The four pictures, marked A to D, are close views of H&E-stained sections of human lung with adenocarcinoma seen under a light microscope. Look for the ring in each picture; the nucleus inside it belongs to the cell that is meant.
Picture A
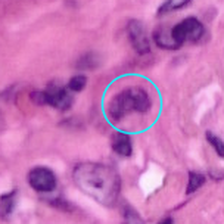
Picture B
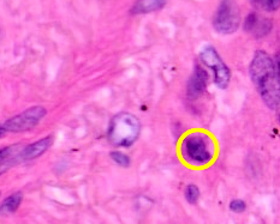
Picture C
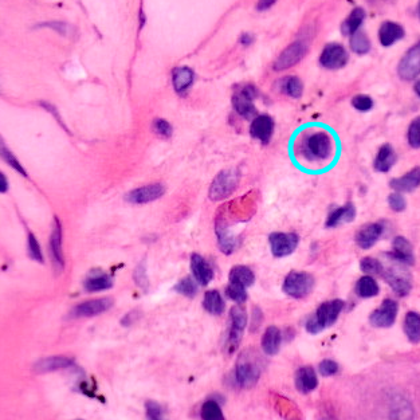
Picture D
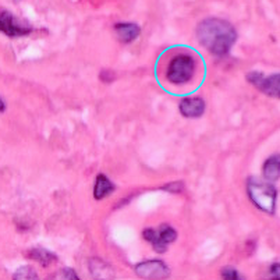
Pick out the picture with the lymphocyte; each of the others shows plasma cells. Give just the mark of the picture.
C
